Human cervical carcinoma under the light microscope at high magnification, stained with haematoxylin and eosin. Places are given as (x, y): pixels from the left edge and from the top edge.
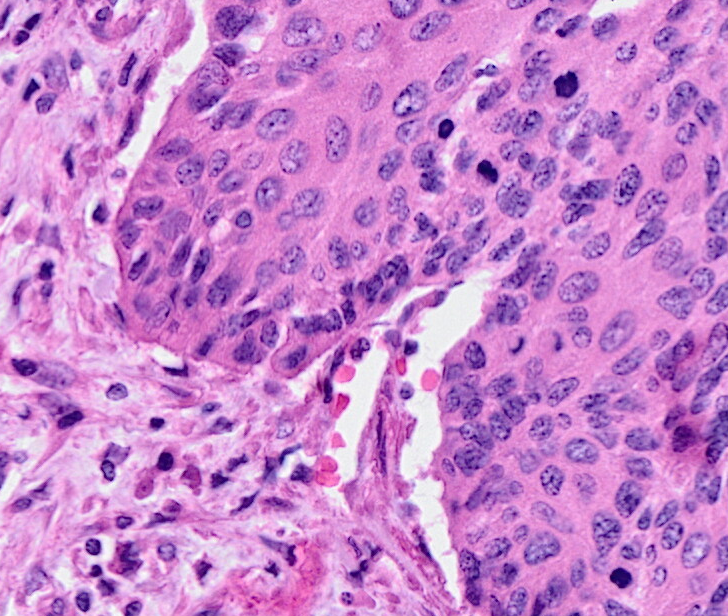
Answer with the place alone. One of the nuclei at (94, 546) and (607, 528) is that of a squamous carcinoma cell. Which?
(607, 528)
